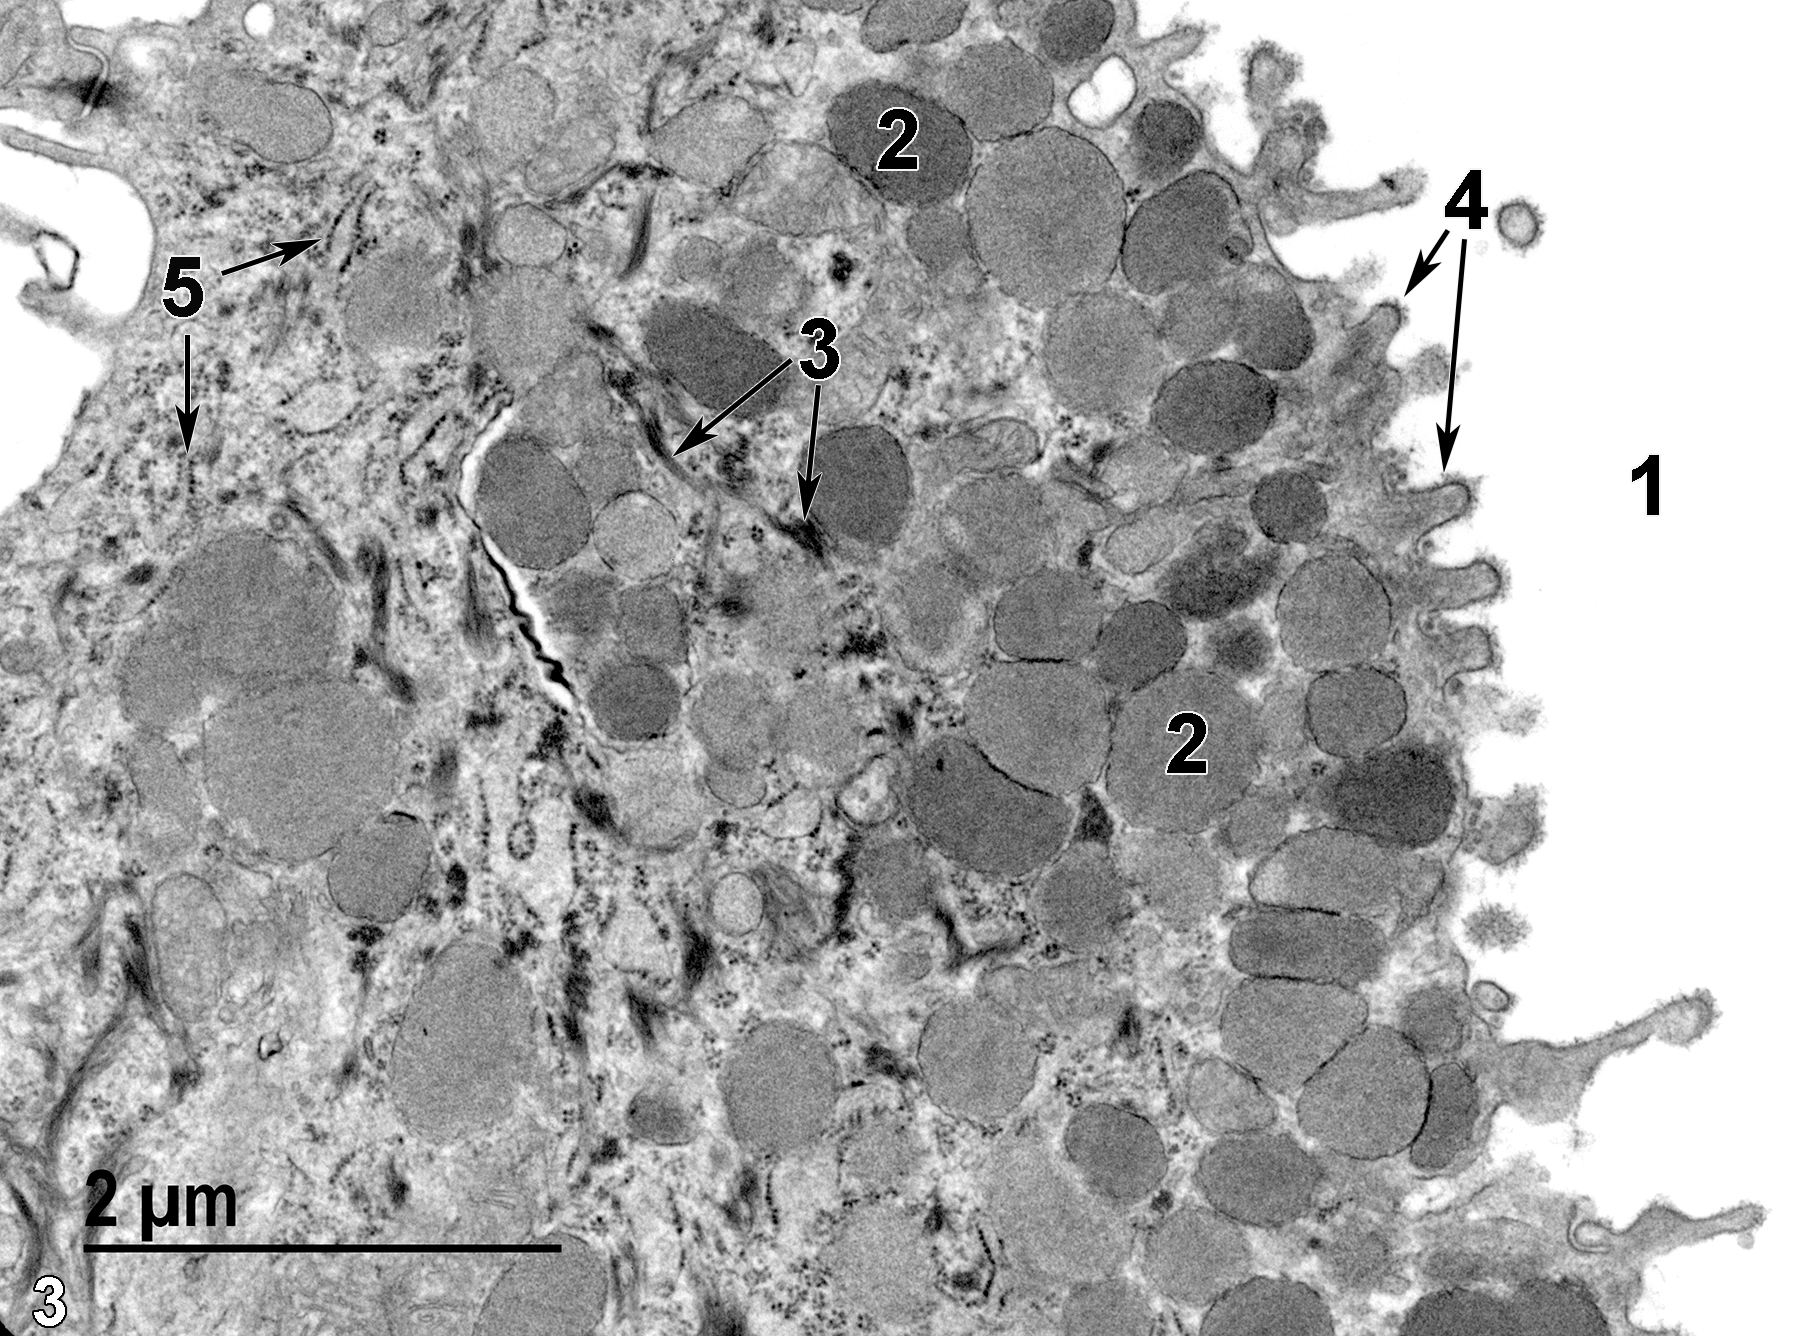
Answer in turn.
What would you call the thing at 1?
The number 1 marks the cervical lumen.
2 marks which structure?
Mucigen granules.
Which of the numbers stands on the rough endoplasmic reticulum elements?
5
